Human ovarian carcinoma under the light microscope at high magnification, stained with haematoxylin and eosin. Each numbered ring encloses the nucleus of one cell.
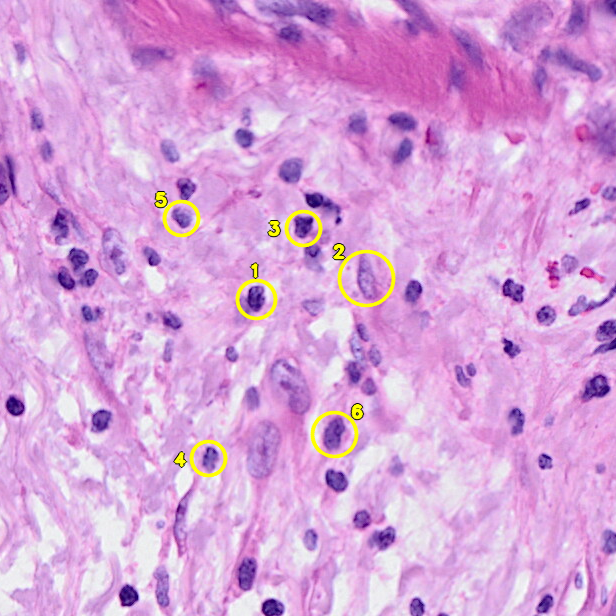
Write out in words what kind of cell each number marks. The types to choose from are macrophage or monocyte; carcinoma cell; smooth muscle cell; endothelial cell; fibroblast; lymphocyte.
Cell 1 is a lymphocyte, cell 2 is a fibroblast, cell 3 is a lymphocyte, cell 4 is a lymphocyte, cell 5 is a lymphocyte and cell 6 is a macrophage or monocyte.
